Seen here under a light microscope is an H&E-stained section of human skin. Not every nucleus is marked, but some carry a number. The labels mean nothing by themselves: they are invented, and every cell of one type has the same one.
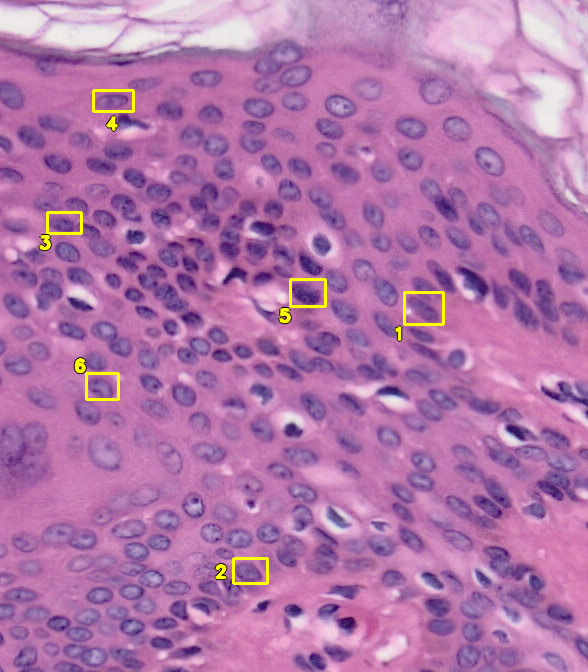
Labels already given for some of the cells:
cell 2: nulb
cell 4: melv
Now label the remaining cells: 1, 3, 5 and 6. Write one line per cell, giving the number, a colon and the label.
1: nulb
3: melv
5: nulb
6: melv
